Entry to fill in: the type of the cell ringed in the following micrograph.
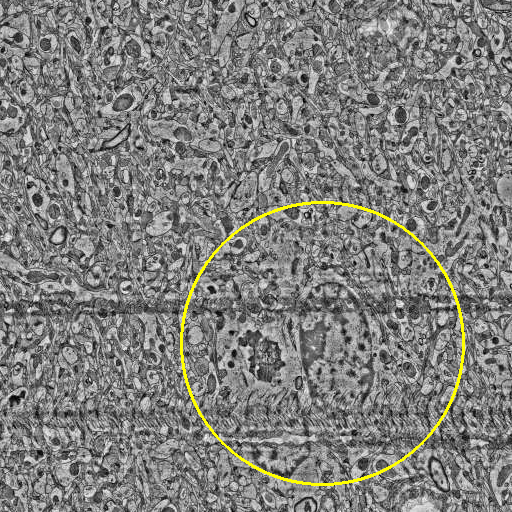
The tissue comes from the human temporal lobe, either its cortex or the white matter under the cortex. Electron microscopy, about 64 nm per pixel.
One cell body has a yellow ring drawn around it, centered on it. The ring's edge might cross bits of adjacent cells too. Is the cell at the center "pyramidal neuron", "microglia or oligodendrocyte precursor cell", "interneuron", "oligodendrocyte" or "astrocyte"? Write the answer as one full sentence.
This entry names an astrocyte as the cell whose body lies at the ring's center.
